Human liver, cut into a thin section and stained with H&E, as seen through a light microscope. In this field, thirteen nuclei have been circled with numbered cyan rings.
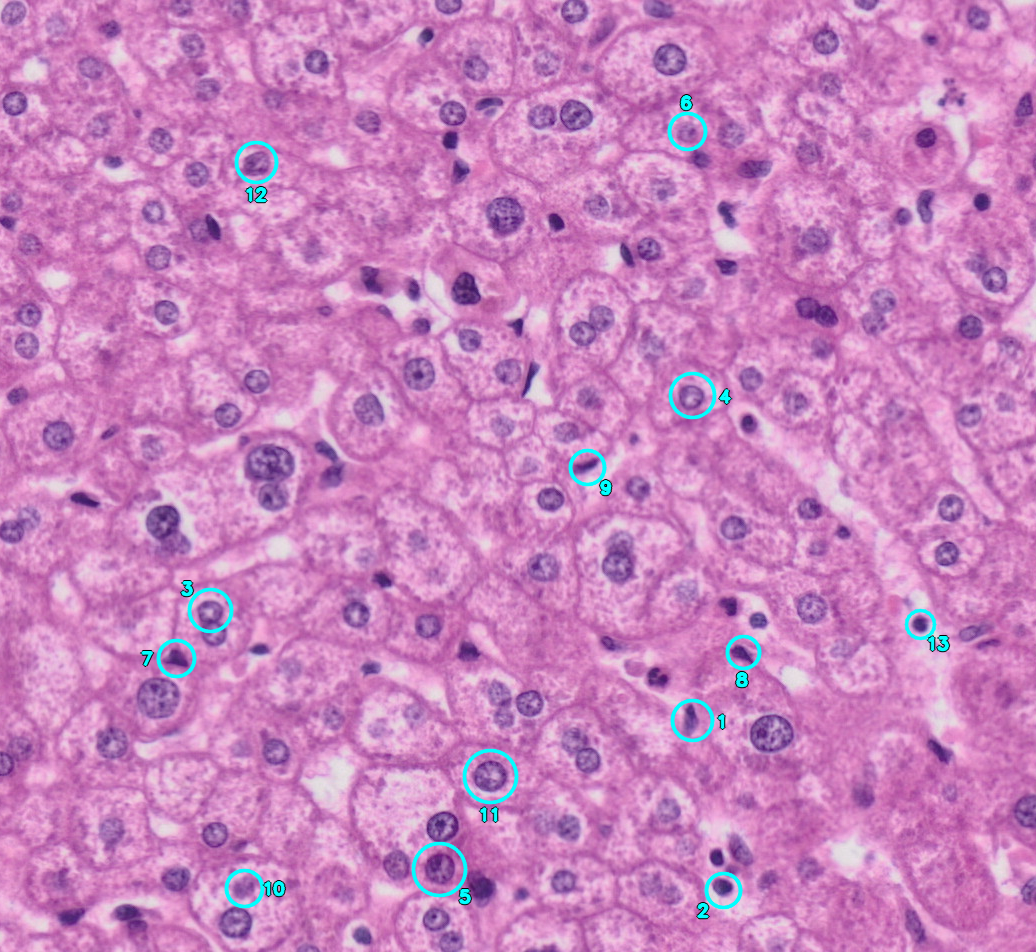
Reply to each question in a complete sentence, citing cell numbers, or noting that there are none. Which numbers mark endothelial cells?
In short, the numbered cells 1 and 9 are endothelial cells.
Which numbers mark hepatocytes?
Cells 3, 4, 5, 6, 10, 11 and 12 are of one type, namely hepatocytes.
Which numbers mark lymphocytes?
When it comes to cells 2 and 13, they are lymphocytes.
